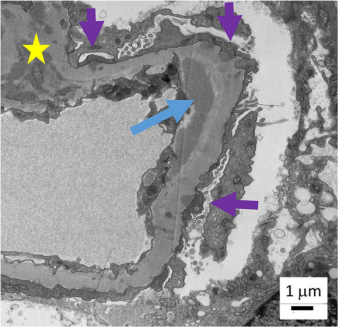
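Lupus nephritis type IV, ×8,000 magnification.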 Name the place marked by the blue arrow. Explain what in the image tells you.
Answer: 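The blue arrow points at thickened dense material on the wall facing the large capillary lumen. The lumen beside it is filled with pale, finely granular material. That points to this answer: subendothelial side.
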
